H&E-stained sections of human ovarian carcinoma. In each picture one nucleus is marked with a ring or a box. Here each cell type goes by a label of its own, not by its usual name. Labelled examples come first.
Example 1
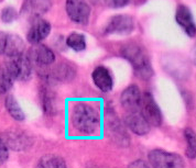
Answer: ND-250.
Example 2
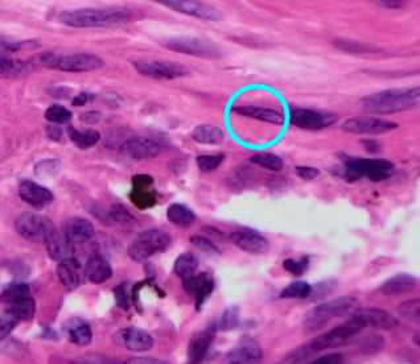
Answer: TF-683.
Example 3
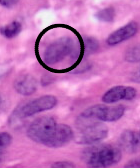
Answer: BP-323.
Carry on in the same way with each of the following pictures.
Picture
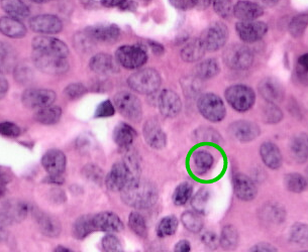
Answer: ND-250.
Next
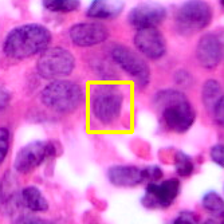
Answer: BP-323.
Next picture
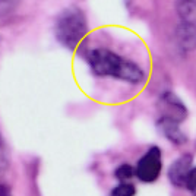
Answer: ND-250.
